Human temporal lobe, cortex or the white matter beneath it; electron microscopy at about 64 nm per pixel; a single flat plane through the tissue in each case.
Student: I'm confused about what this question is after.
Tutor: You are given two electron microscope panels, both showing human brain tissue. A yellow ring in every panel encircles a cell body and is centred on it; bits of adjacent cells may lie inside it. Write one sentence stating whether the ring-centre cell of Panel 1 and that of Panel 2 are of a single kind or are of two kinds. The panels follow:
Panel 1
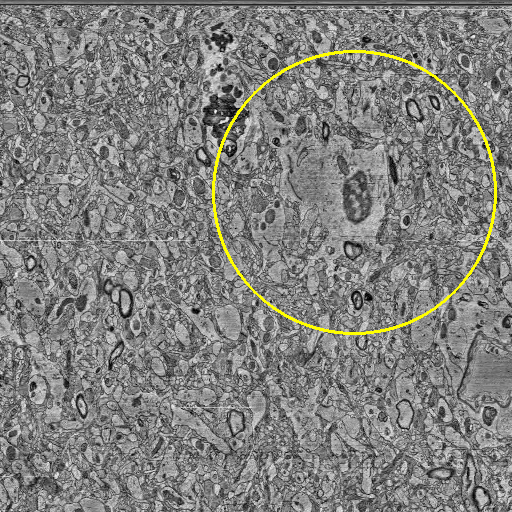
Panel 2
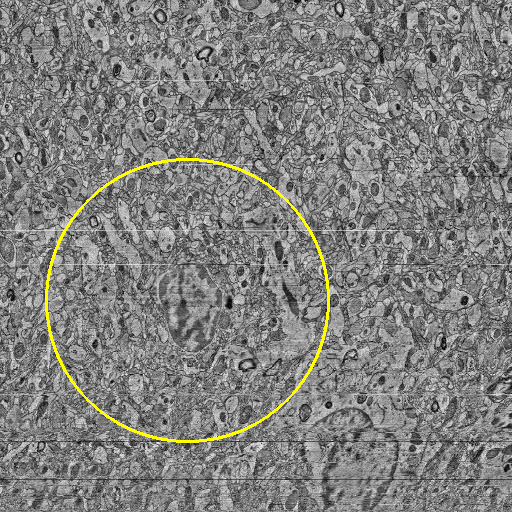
Here, the Panel 1 ring-centre cell and the Panel 2 ring-centre cell are of two kinds.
